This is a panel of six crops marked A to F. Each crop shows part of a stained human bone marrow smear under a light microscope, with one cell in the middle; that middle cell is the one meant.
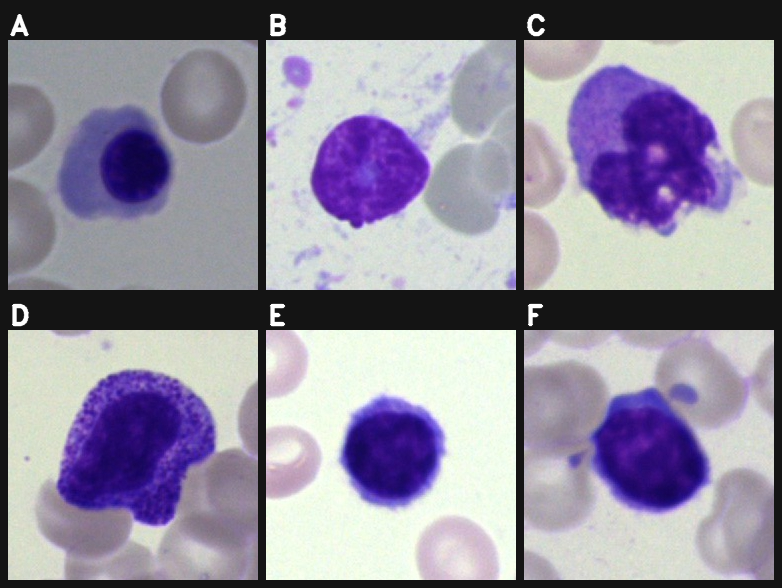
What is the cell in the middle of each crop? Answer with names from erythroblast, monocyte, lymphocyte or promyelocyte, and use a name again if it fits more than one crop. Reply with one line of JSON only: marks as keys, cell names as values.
{"A": "erythroblast", "B": "lymphocyte", "C": "monocyte", "D": "promyelocyte", "E": "lymphocyte", "F": "lymphocyte"}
